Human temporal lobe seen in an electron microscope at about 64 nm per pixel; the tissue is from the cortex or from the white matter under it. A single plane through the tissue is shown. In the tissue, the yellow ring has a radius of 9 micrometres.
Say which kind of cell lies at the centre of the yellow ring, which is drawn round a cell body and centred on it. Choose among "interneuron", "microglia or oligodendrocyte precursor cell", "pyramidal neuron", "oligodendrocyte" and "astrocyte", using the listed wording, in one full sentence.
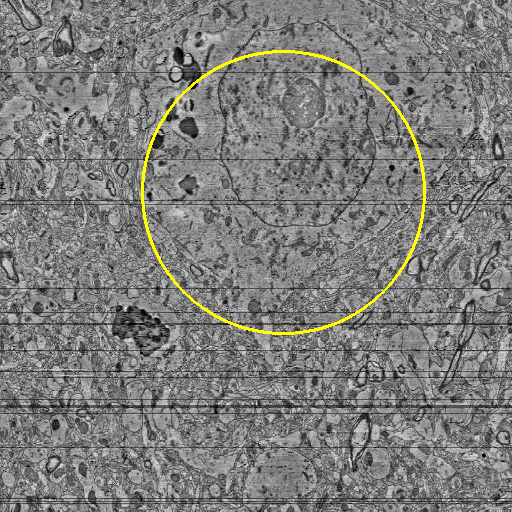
Going by the list, the cell at the yellow ring's centre is a pyramidal neuron.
